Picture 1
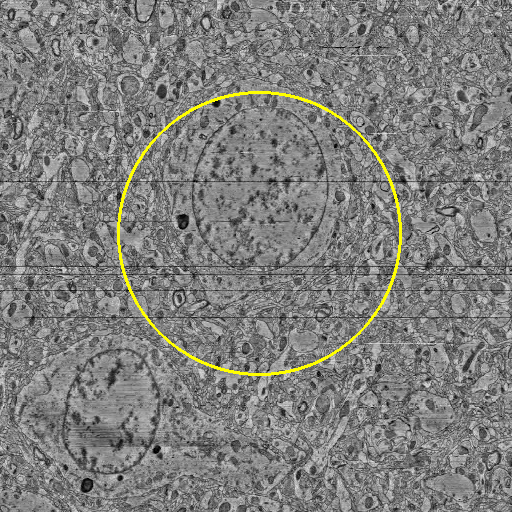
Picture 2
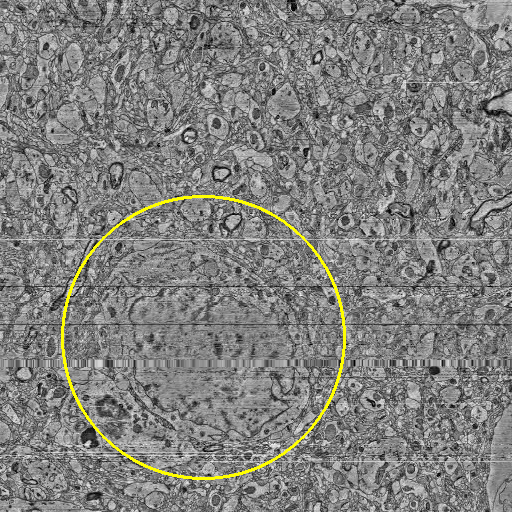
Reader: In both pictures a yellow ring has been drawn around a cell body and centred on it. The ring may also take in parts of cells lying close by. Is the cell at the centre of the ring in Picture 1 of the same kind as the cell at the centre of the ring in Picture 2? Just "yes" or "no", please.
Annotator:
no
